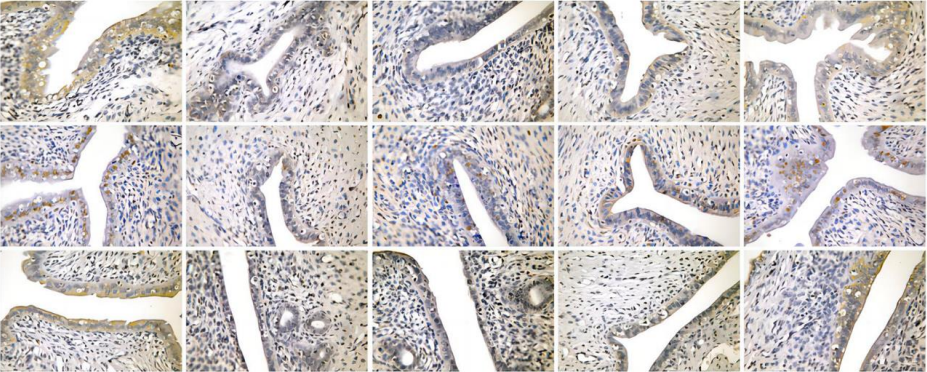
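This grid of small sections shows endometrium, with a narrow, branching lumen lined by a single layer of columnar epithelial cells resting on a cellular stroma. The stromal cells are mostly spindle-shaped, with elongated blue-stained nuclei, and lie fairly densely in the connective tissue beneath the epithelium. Small round gland profiles appear within the stroma in some sections.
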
